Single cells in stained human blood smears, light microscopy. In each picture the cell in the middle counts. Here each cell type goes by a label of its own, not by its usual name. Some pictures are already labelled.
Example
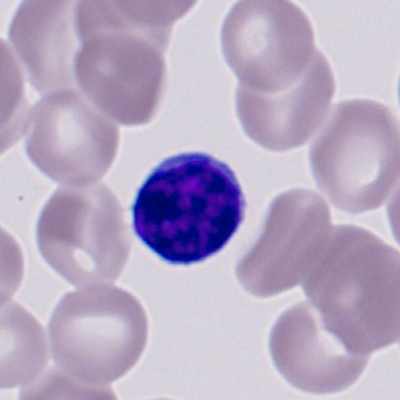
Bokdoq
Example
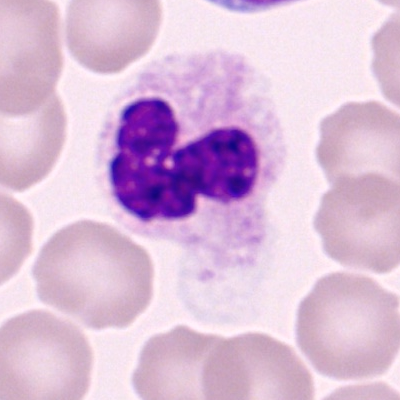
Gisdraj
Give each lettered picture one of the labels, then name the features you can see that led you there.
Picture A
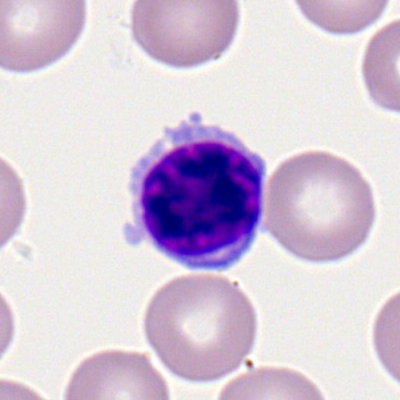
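Bokdoq. The cytoplasm forms only a thin rim around the nucleus.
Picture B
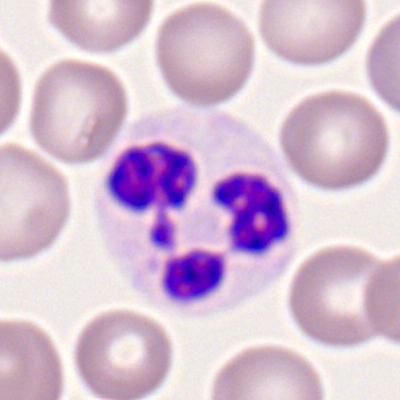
Gisdraj. The nucleus is split into three main lobes.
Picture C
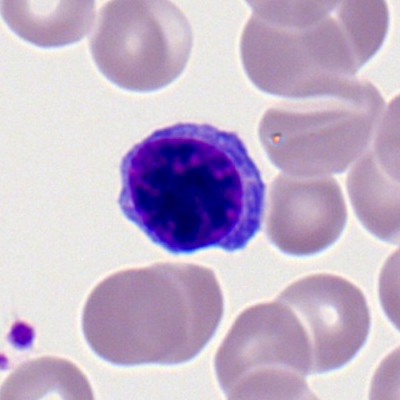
Bokdoq. The nucleus fills most of the cell.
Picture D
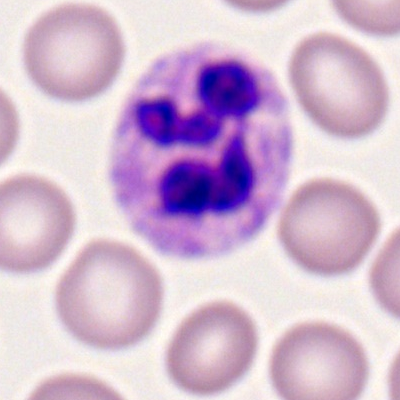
Gisdraj. The nucleus is divided into several separate lobes.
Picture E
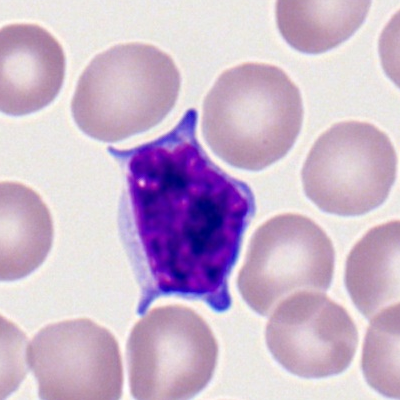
Bokdoq. The nucleus is a single unlobed mass that fills most of the cell.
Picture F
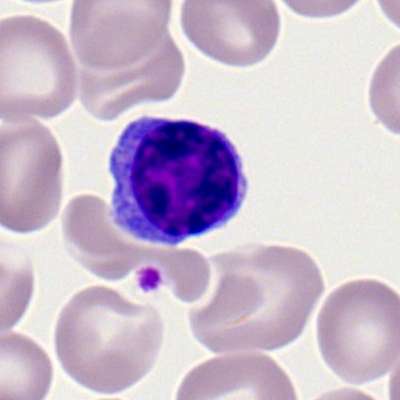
Bokdoq. The cytoplasm forms a narrow rim that is widest on the left side.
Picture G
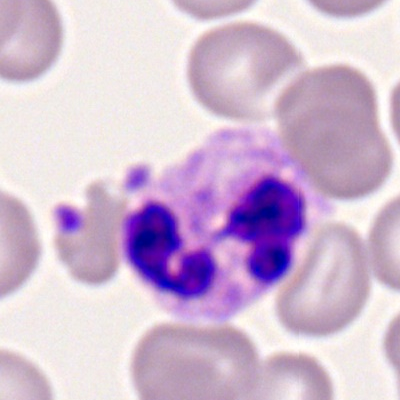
Gisdraj. The cytoplasm is plentiful and pale pinkish-lilac.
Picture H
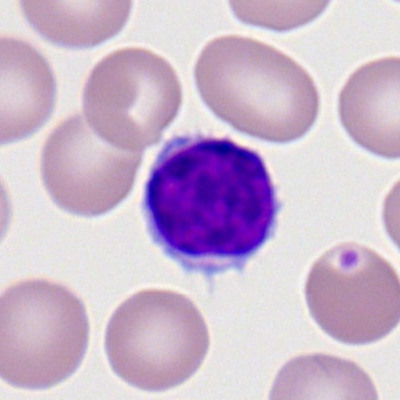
Bokdoq. The cytoplasm is only a very thin rim around the nucleus.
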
